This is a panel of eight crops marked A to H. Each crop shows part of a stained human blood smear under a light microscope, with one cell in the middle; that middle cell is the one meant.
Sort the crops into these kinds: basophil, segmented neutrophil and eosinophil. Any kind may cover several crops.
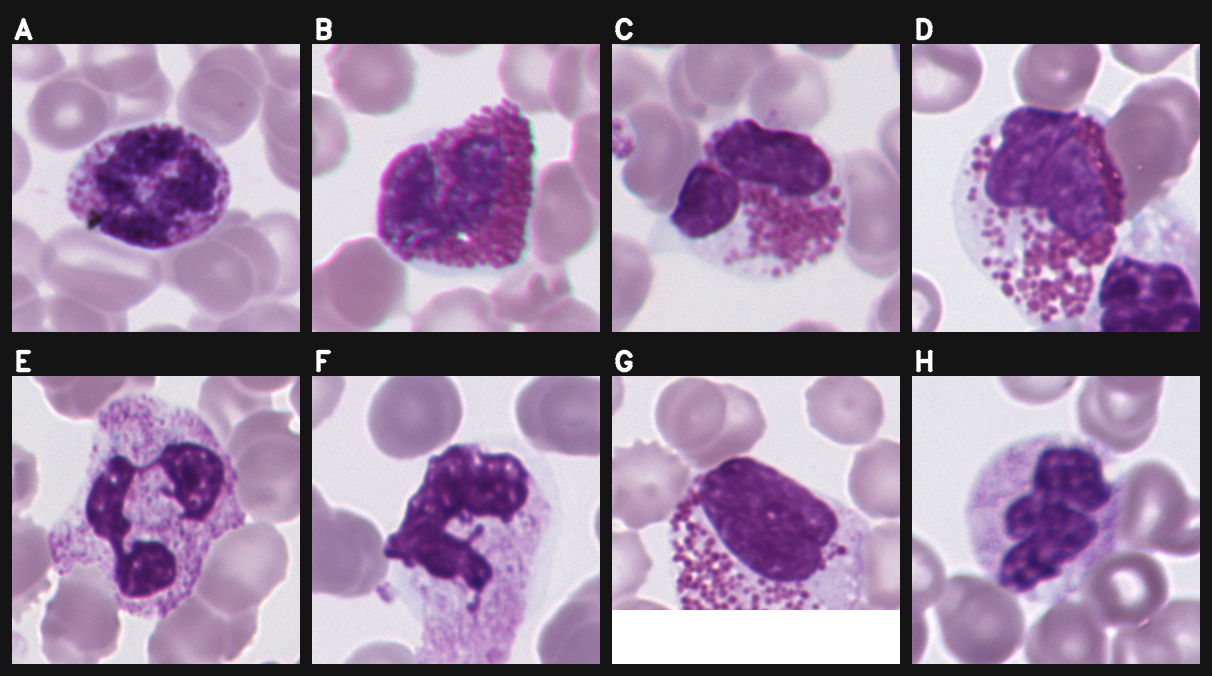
A: basophil
B: eosinophil
C: eosinophil
D: eosinophil
E: segmented neutrophil
F: segmented neutrophil
G: eosinophil
H: segmented neutrophil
